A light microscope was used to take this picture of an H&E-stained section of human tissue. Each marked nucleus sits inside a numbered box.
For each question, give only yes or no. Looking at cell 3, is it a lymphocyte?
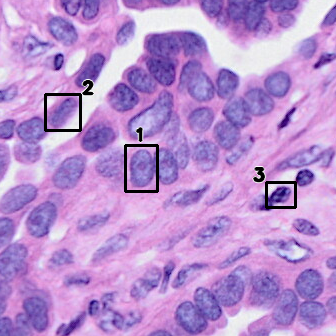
yes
